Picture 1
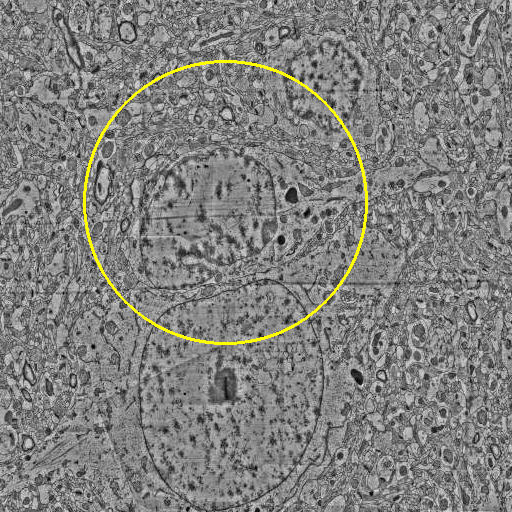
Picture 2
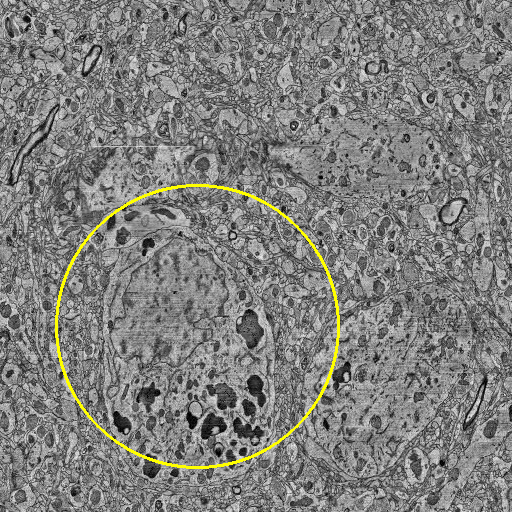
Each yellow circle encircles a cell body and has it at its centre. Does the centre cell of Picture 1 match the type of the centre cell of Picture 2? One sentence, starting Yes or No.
Yes, the cell centred in Picture 1 and the one in Picture 2 share a type.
